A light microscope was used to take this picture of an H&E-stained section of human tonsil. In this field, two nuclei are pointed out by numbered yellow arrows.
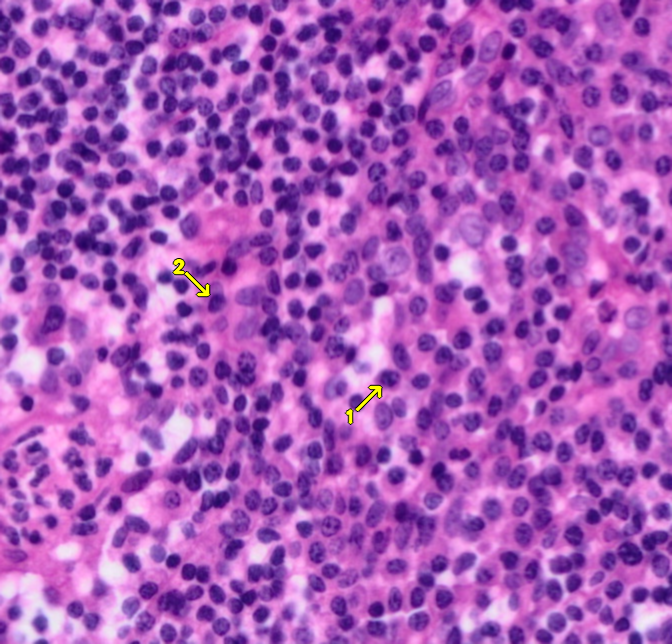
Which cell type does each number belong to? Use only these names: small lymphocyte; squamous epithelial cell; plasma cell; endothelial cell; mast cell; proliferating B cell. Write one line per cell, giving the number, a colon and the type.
1: plasma cell
2: endothelial cell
